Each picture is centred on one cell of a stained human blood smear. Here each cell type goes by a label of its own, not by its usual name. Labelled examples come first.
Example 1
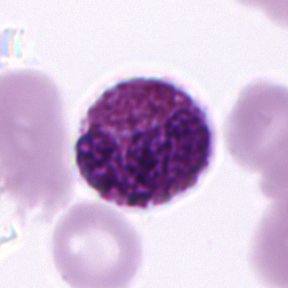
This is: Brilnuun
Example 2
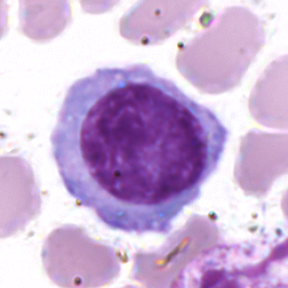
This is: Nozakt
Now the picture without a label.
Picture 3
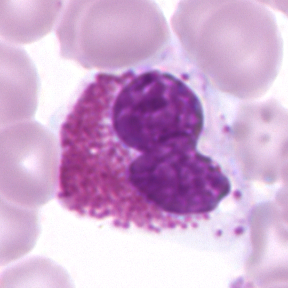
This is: Brilnuun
